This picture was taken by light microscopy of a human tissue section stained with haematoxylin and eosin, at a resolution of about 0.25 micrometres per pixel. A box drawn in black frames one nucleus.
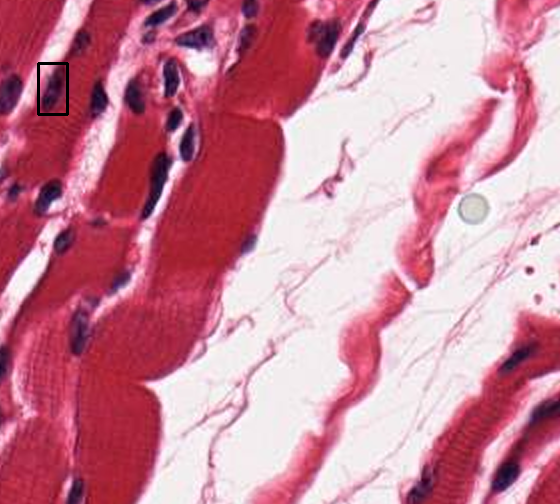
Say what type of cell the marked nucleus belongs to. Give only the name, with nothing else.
skeletal muscle fibre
